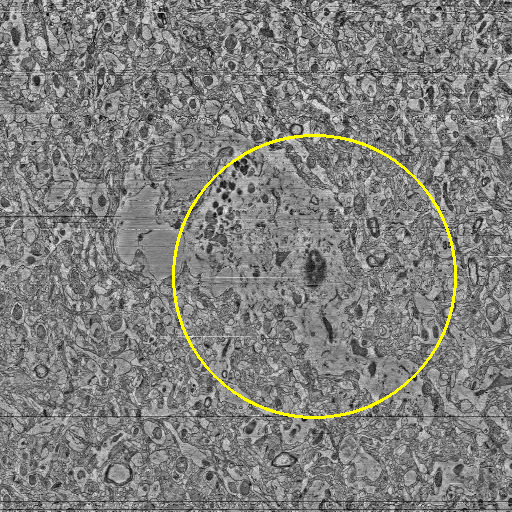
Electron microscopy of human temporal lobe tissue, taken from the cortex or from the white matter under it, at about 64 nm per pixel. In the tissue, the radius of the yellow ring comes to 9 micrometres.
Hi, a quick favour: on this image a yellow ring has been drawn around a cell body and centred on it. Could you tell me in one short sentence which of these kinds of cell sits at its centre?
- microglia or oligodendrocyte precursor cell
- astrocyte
The ring is centred on an astrocyte.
